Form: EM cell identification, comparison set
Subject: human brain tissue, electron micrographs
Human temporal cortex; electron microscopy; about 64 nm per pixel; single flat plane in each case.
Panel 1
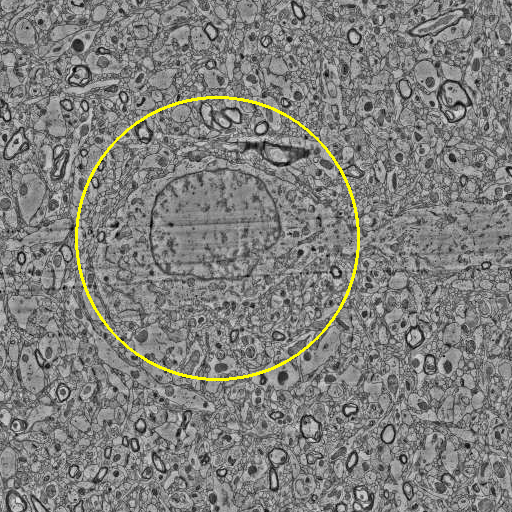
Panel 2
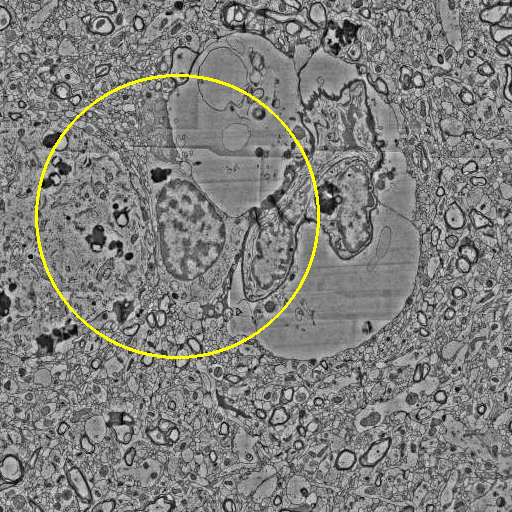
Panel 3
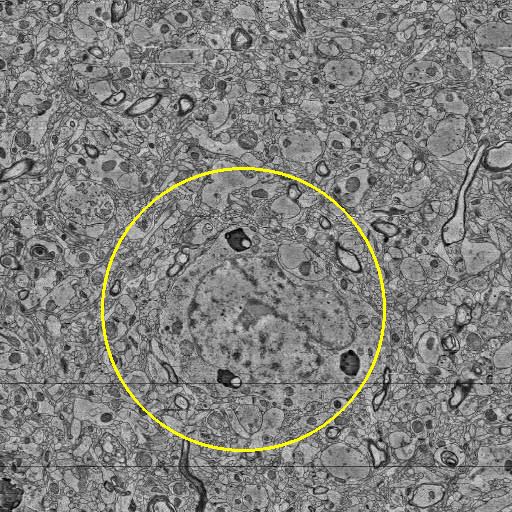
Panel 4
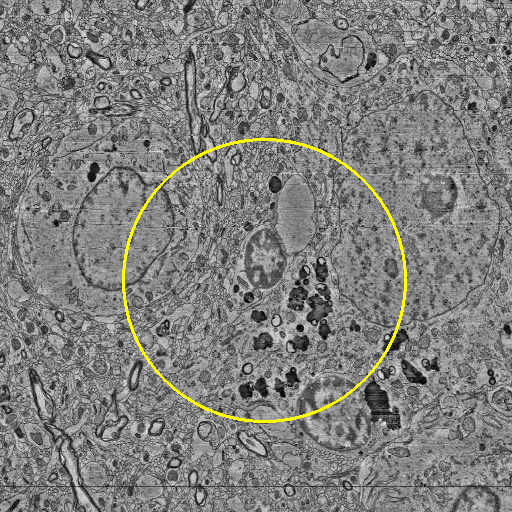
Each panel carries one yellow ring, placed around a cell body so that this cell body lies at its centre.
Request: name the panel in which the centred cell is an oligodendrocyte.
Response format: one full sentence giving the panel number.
Panel 2 has it at the centre of its ring.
